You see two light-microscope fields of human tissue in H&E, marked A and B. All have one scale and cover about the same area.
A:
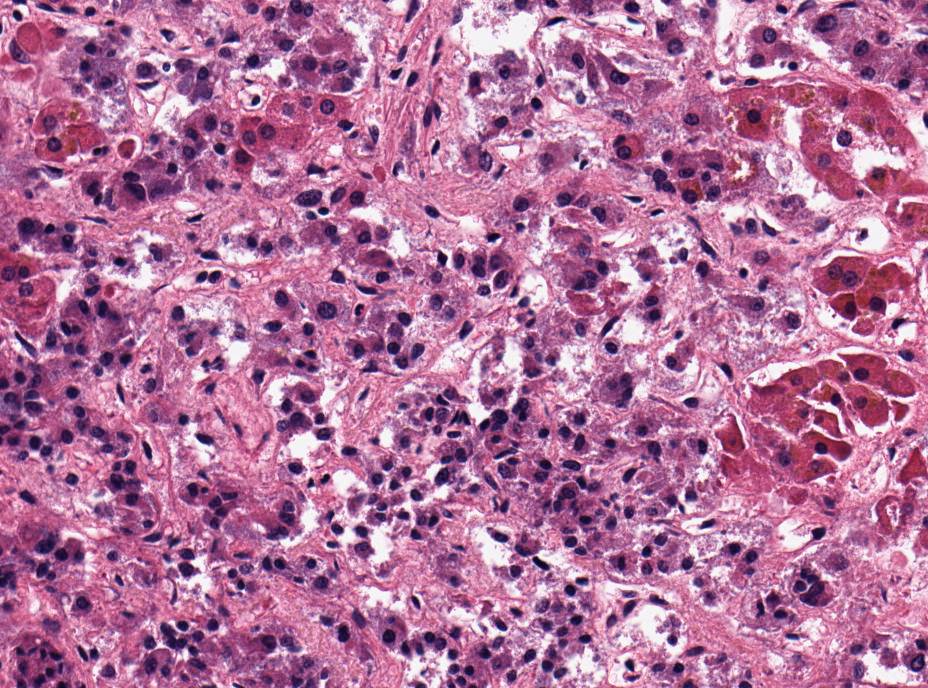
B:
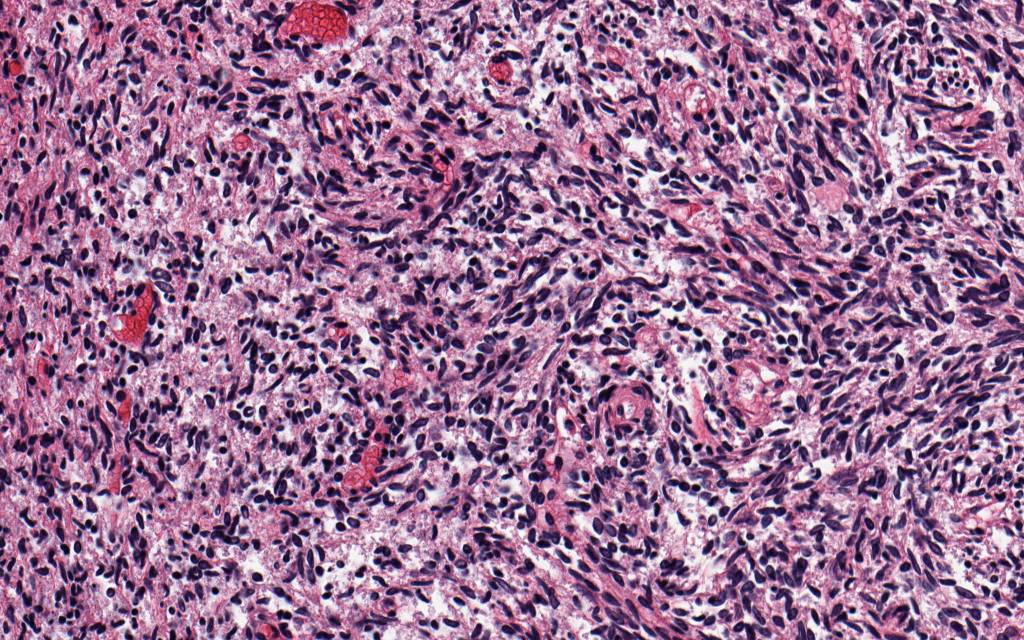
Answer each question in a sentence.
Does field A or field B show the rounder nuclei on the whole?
It is field A whose nuclei are the rounder.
